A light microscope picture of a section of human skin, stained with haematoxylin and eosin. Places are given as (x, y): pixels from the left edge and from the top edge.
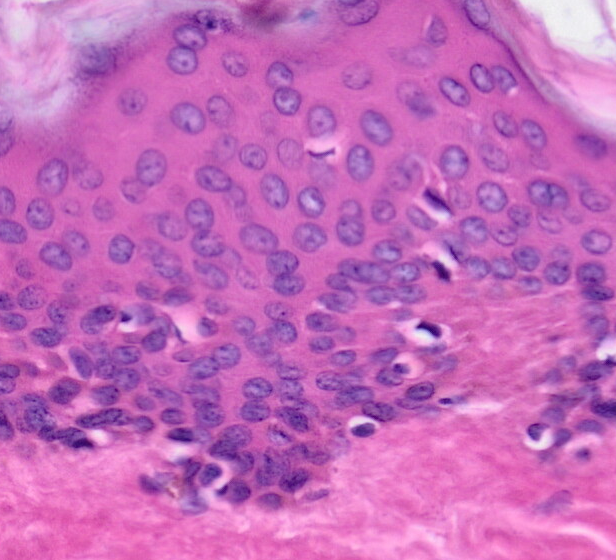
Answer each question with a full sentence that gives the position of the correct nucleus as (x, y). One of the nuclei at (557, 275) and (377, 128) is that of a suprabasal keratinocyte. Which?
The nucleus that belongs to a suprabasal keratinocyte sits at (377, 128).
